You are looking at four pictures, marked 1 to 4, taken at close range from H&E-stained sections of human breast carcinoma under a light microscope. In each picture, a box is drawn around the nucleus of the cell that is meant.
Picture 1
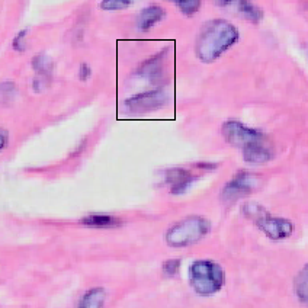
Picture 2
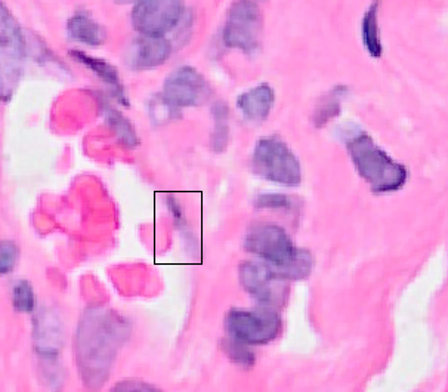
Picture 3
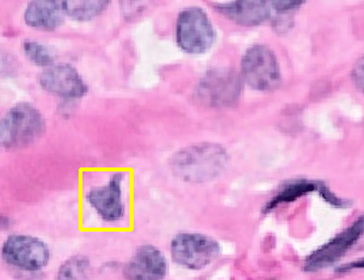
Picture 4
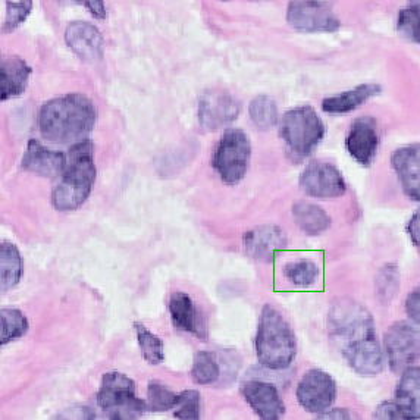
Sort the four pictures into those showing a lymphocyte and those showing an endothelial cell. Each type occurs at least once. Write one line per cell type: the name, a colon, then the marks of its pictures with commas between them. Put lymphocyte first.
lymphocyte: 3, 4
endothelial cell: 1, 2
